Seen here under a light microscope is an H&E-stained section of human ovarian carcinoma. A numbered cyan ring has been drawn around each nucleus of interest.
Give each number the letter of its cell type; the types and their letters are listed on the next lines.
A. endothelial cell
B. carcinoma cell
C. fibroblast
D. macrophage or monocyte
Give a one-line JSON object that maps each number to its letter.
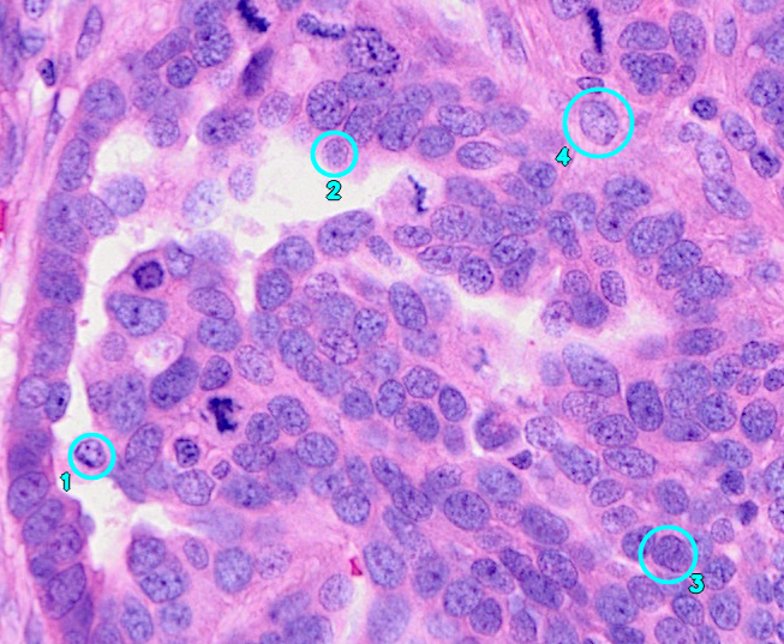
{"1": "D", "2": "B", "3": "B", "4": "C"}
